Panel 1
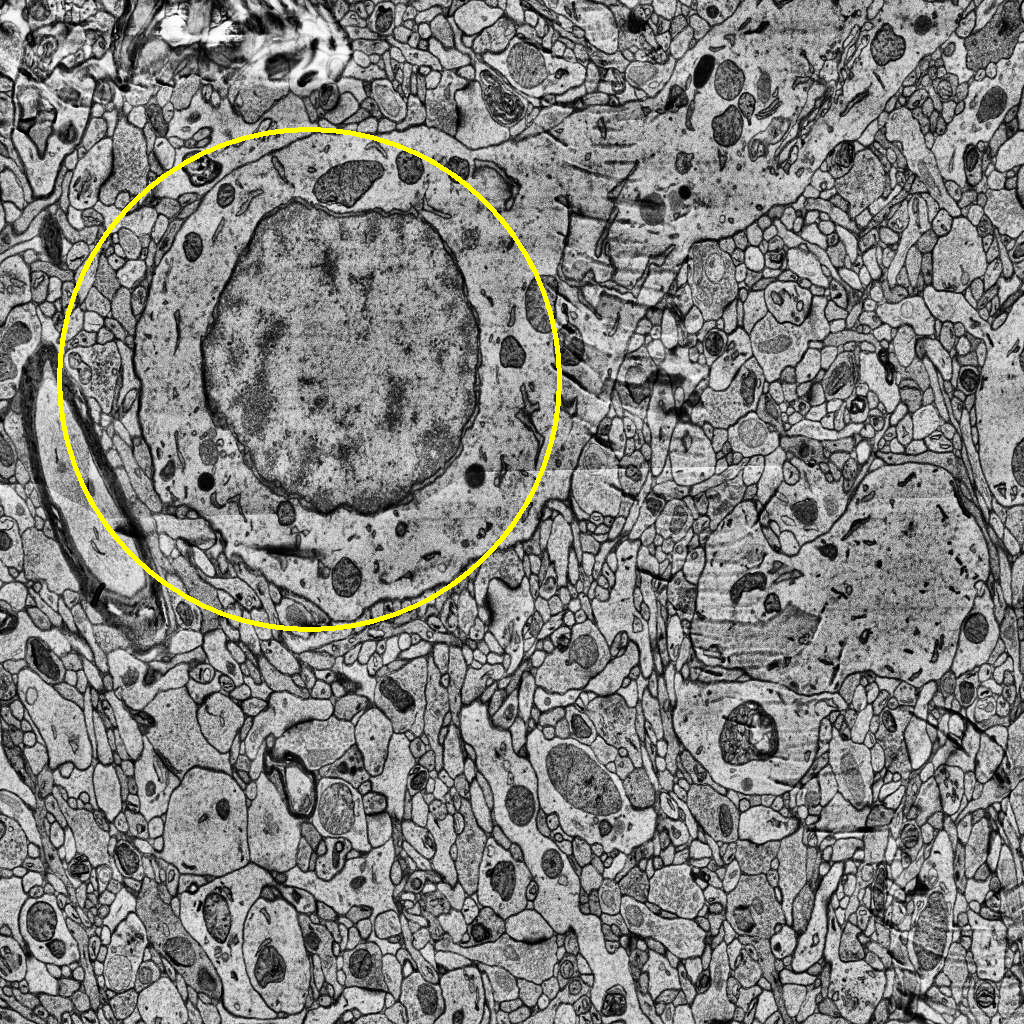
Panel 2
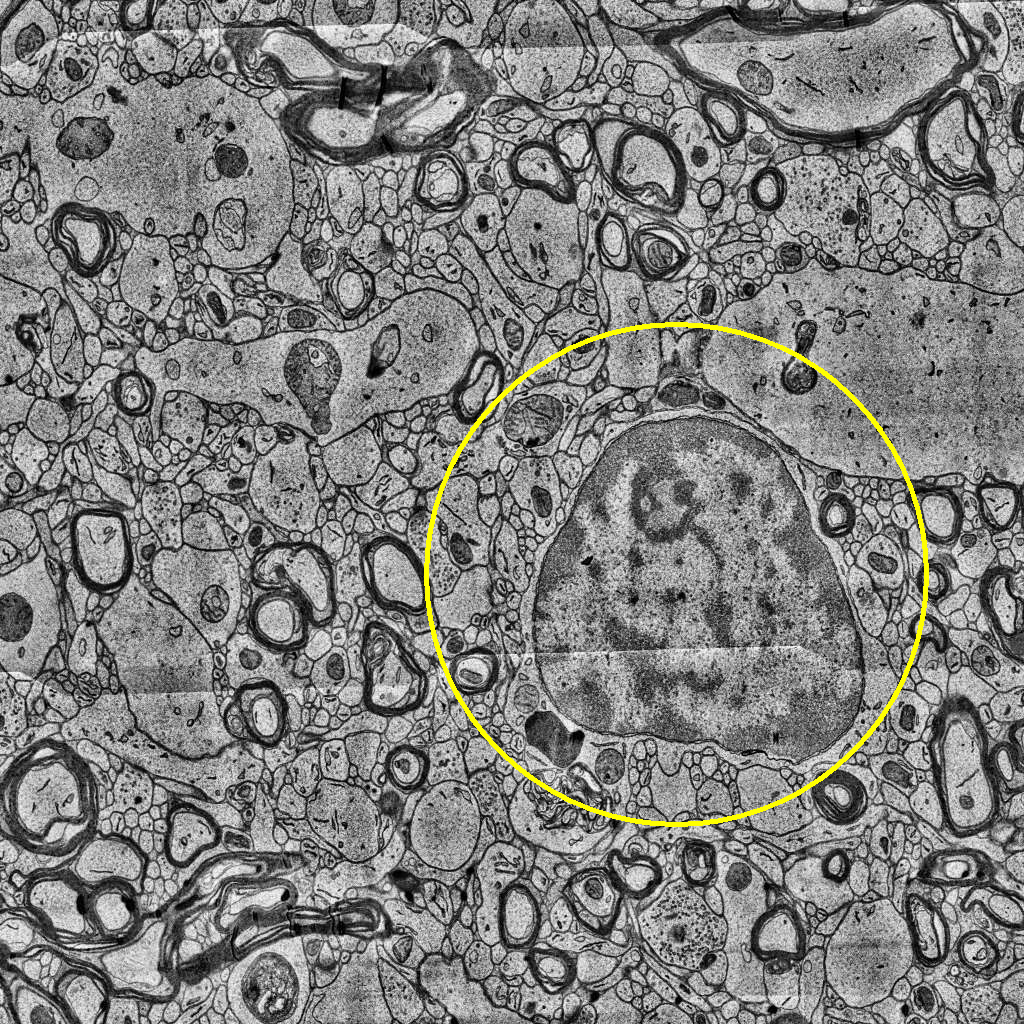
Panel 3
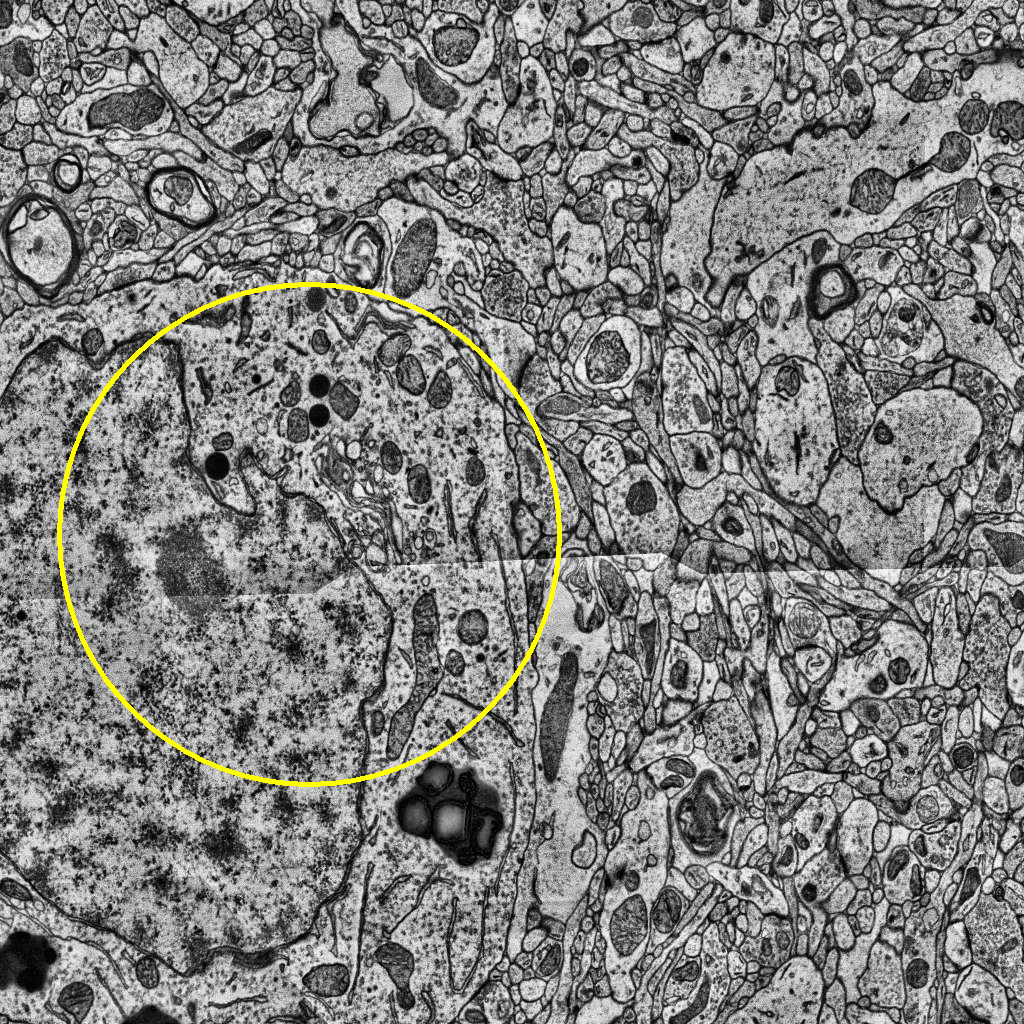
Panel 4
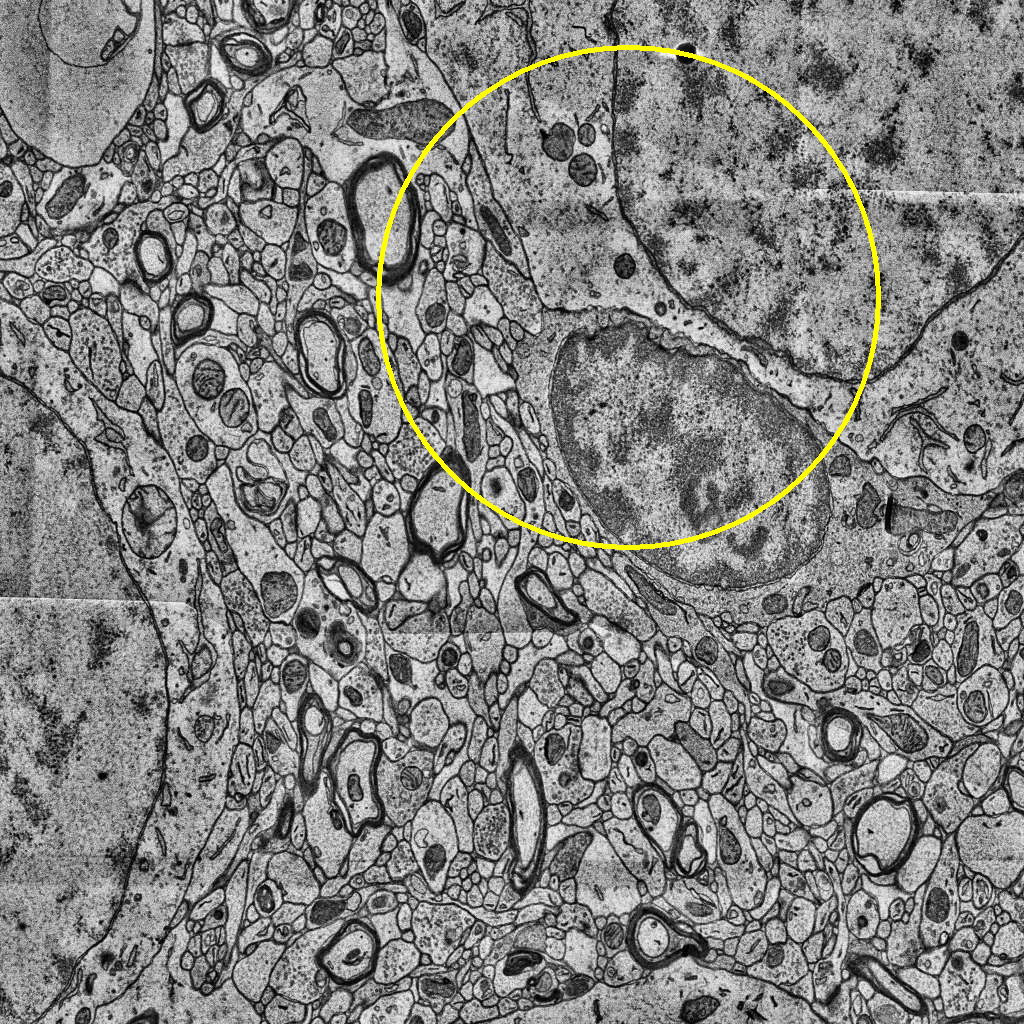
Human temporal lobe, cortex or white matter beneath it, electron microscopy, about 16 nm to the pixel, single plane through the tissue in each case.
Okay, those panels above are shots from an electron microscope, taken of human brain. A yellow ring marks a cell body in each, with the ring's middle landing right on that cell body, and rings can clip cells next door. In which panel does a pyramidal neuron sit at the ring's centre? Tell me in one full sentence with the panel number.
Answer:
The cell you asked for has the ring's centre inside it in panel 1.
